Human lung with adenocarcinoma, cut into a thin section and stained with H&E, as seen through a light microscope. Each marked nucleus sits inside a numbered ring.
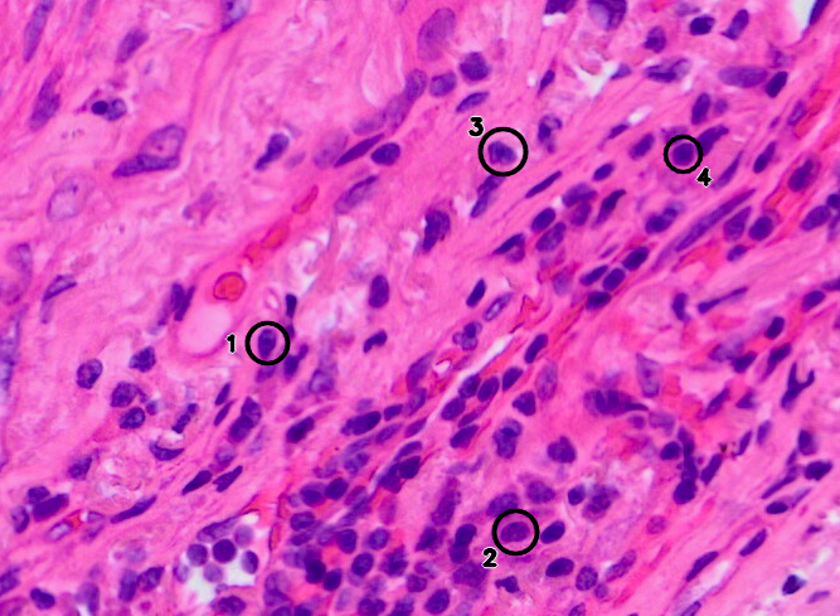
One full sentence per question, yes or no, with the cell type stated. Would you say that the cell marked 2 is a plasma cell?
Yes, on this slide, the cell with number 2 is a plasma cell.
